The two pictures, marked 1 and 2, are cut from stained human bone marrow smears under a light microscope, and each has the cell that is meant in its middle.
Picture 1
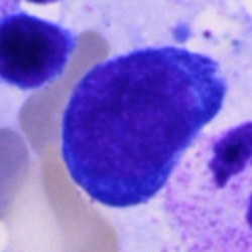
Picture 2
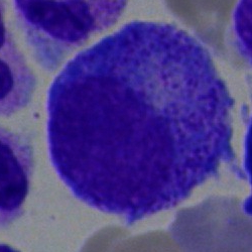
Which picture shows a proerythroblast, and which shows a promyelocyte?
1: proerythroblast
2: promyelocyte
